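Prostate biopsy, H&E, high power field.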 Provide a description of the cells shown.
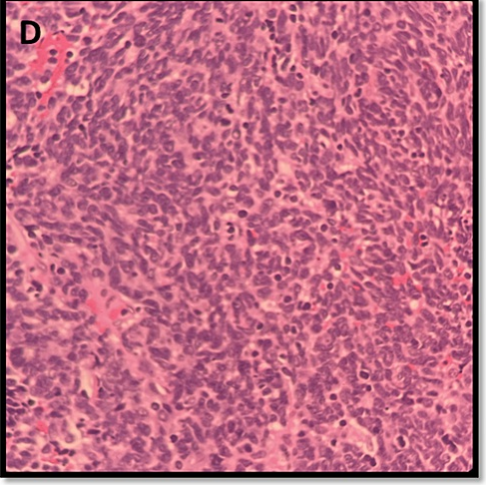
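This is a solid sheet of small round blue tumour cells with no glandular arrangement. The cells are tightly crowded, with dark blue-purple, round to oval nuclei that take up almost the whole of each cell. Cytoplasm is scant and pale pink, so cell borders are hard to make out. There is very little stroma between the cells, only a few thin strands and small vessels containing red blood cells.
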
